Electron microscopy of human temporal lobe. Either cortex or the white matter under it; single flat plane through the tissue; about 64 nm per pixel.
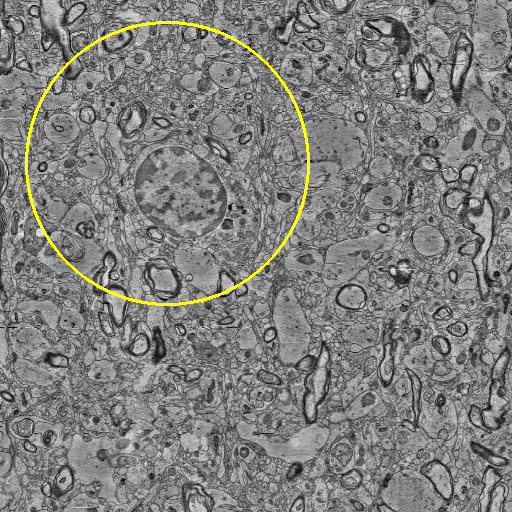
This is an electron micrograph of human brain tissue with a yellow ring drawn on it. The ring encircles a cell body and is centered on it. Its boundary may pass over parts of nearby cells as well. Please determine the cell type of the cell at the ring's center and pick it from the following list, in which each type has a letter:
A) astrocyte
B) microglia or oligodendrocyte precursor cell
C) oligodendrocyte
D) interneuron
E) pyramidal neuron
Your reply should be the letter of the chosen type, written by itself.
B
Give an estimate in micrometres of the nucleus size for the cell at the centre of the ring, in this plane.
In this plane, the nucleus of the cell at the centre of the ring measures about 6 by 5 micrometres.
